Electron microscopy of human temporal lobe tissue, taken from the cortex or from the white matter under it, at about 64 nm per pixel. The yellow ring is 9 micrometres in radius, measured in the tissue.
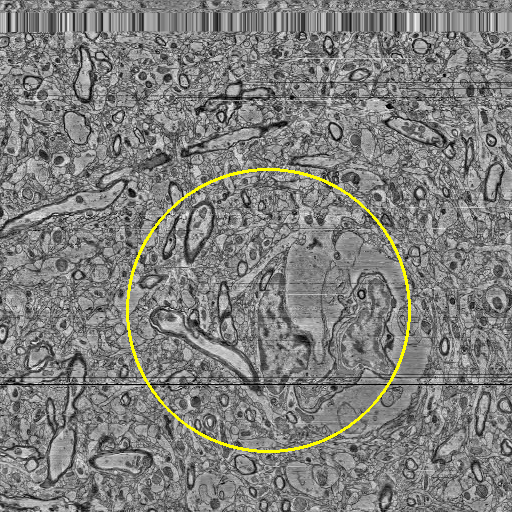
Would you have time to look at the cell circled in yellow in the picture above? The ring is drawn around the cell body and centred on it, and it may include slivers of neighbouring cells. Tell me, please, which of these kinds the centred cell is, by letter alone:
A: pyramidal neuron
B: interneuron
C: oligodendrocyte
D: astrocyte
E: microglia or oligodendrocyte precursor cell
E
